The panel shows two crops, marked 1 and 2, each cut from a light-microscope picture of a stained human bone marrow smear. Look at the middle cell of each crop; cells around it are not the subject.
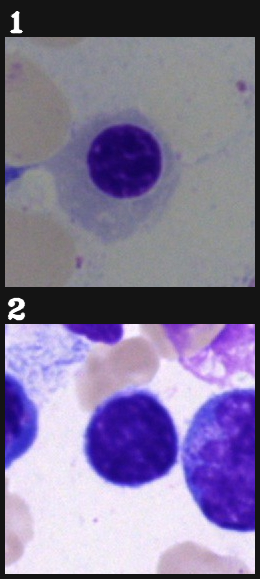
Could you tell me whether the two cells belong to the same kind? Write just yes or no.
no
